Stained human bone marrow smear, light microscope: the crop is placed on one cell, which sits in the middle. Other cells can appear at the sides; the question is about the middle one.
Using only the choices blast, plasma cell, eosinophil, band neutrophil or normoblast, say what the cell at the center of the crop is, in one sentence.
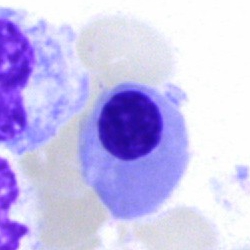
The cell at the central position in this crop is a normoblast.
